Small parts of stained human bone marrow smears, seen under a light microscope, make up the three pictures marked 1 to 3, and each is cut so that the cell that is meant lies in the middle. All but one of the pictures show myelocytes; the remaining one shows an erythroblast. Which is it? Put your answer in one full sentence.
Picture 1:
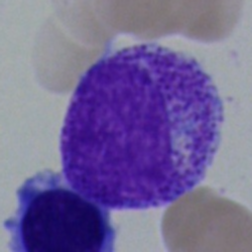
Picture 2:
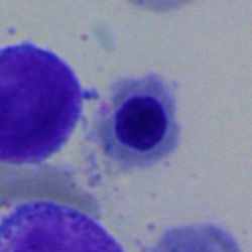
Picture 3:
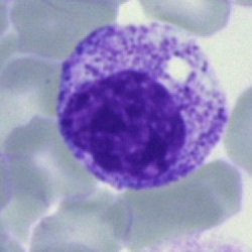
Picture 2 is the one that shows the erythroblast.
